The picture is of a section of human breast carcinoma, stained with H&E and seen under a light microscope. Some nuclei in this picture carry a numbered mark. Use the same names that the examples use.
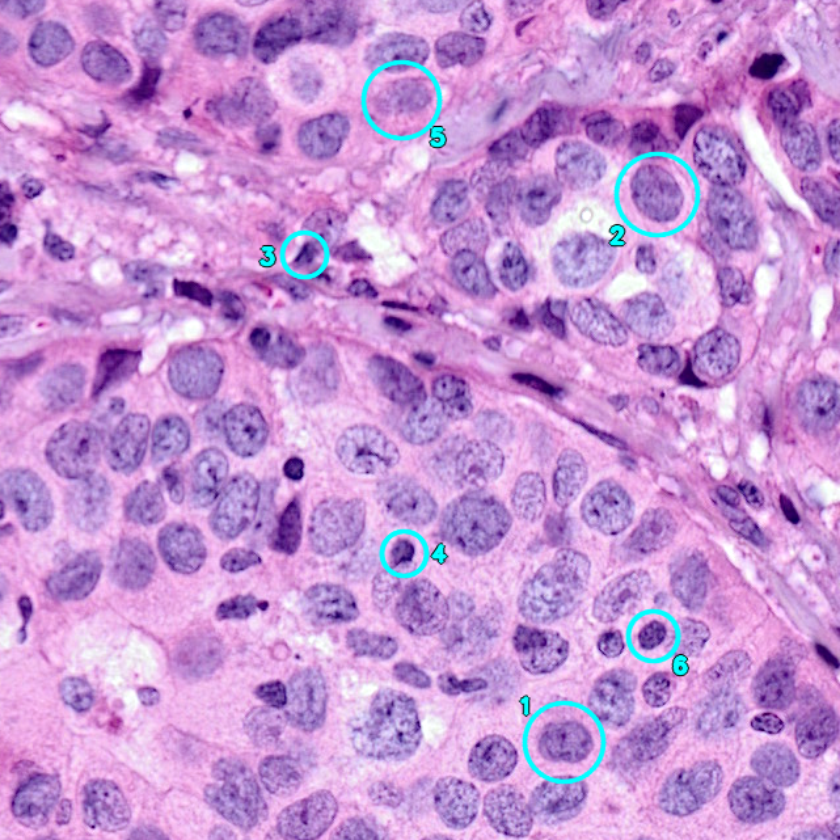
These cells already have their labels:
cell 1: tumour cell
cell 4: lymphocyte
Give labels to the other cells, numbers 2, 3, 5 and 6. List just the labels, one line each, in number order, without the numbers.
tumour cell
lymphocyte
tumour cell
lymphocyte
